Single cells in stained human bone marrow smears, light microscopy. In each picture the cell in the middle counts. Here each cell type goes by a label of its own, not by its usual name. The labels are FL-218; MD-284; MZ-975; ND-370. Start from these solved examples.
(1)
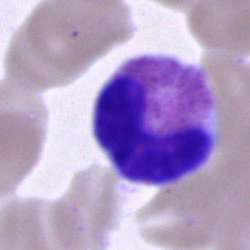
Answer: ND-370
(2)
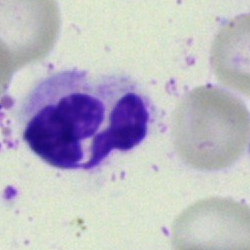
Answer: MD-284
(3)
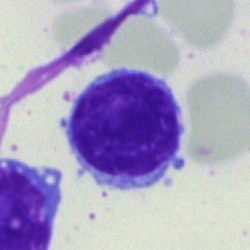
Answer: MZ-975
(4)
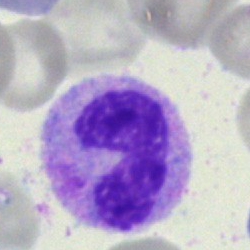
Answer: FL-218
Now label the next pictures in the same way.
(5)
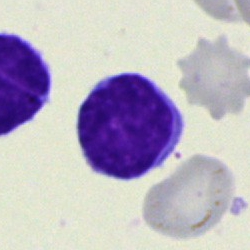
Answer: MZ-975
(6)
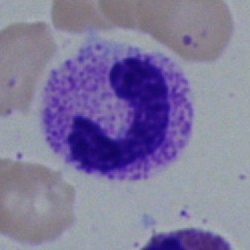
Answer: FL-218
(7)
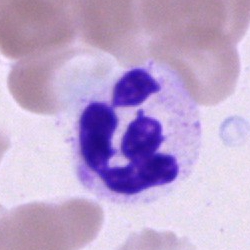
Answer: MD-284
